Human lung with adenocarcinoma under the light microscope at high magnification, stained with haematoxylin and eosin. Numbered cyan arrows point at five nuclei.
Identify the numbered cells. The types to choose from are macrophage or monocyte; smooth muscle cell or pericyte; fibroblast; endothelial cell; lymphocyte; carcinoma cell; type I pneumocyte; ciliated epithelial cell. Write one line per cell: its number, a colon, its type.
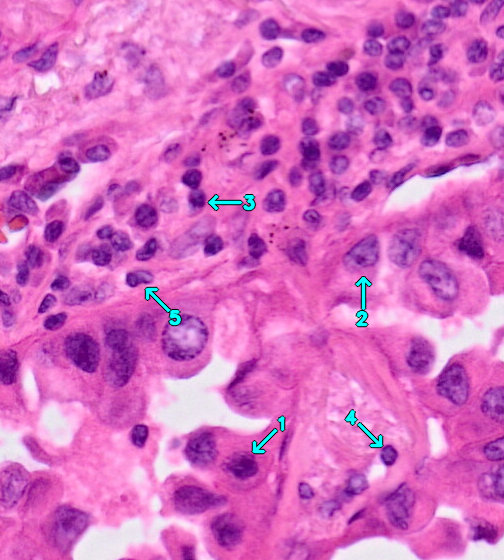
1: carcinoma cell
2: carcinoma cell
3: lymphocyte
4: lymphocyte
5: lymphocyte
